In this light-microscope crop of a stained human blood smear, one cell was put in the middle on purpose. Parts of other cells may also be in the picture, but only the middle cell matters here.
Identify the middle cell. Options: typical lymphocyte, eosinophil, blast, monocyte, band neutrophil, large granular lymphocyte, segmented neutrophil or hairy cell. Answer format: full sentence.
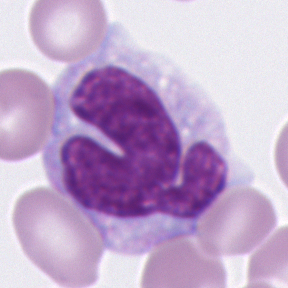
The cell at the heart of this crop is a monocyte.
